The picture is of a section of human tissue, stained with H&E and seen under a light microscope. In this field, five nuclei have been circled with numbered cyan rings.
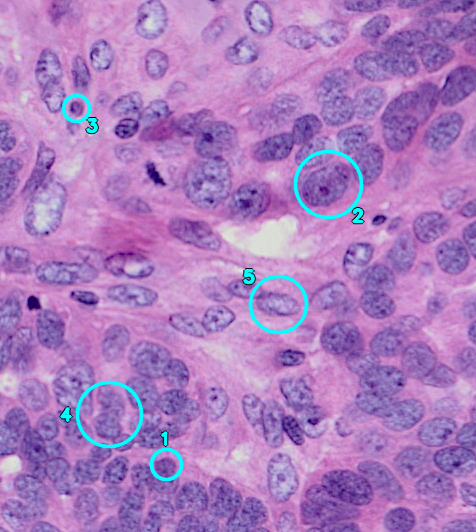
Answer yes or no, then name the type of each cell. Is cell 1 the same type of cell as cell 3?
No, cell 1 is a carcinoma cell and cell 3 is a lymphocyte.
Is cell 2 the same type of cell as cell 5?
No, cell 2 is a carcinoma cell and cell 5 is a fibroblast.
